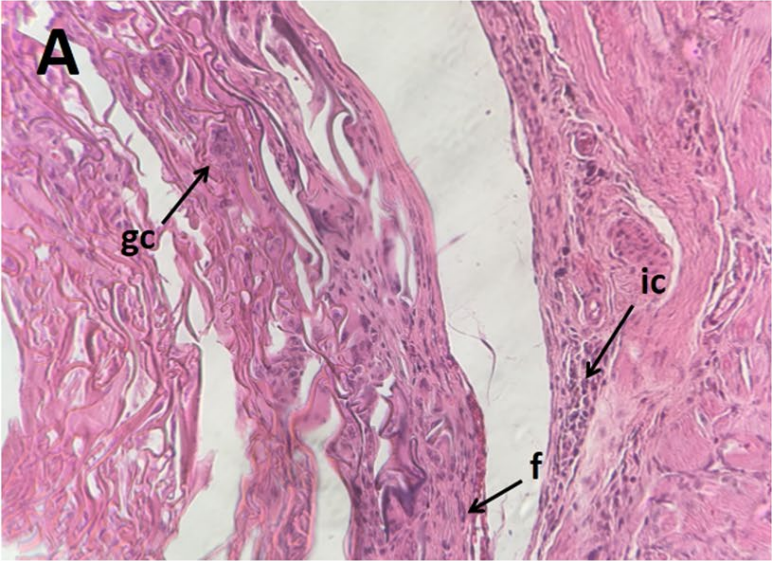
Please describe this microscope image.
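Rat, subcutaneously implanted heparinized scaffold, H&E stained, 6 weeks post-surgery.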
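A multinucleated giant cell lies within the fibrous layers. Along one band there is a row of small inflammatory cells with dark nuclei.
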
